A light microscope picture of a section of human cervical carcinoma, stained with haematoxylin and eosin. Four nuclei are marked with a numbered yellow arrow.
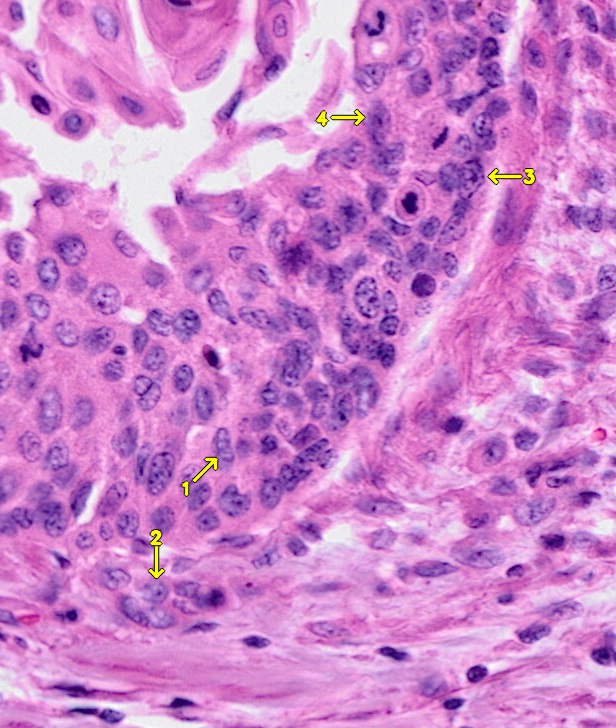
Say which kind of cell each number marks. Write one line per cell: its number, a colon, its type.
1: squamous carcinoma cell
2: endothelial cell
3: squamous carcinoma cell
4: squamous carcinoma cell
